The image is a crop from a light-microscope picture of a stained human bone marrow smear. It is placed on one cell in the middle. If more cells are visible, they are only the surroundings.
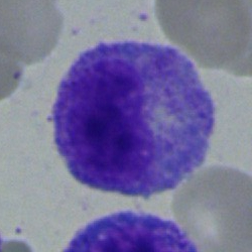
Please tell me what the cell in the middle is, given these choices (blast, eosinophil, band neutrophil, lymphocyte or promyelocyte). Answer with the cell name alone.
promyelocyte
